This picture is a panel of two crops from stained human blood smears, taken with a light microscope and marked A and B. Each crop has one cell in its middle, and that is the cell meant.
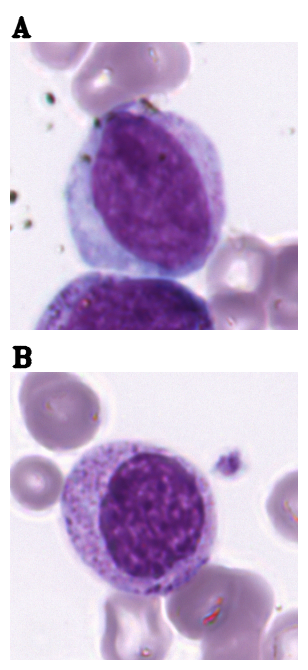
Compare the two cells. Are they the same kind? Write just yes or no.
yes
